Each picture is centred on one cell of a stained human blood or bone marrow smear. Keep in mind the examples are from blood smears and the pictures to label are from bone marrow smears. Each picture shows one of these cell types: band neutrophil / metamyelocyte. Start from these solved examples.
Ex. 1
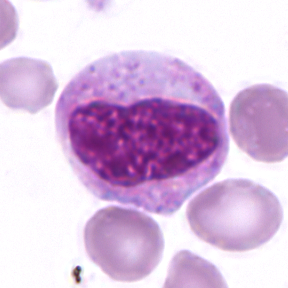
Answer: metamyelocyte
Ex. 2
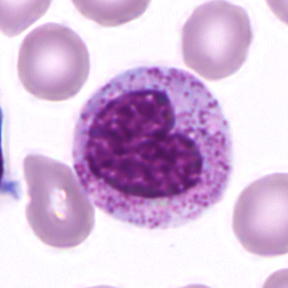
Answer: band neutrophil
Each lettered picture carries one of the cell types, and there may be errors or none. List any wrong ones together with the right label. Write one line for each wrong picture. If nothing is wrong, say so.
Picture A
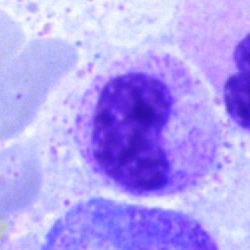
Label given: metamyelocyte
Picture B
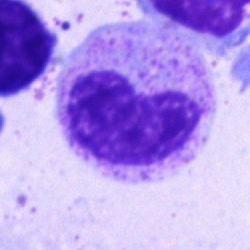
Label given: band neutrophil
Wrong: B (band neutrophil); correct: metamyelocyte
